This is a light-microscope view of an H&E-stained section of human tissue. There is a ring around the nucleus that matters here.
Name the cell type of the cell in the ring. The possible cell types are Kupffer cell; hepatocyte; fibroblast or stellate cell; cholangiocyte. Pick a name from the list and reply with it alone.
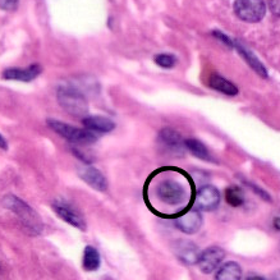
cholangiocyte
